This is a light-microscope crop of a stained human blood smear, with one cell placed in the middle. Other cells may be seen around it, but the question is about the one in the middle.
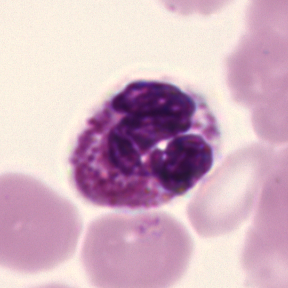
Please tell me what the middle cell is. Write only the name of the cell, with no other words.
eosinophil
